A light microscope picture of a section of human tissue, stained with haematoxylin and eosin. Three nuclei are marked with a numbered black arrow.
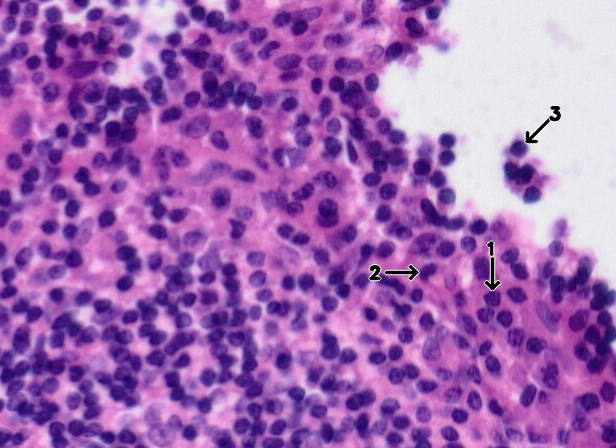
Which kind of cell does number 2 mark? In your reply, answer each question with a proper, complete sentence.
Nucleus 2 in this section belongs to a plasma cell.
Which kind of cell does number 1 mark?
The cell that bears the number 1 is a plasma cell.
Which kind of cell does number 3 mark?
Cell 3 is classified as a small lymphocyte.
